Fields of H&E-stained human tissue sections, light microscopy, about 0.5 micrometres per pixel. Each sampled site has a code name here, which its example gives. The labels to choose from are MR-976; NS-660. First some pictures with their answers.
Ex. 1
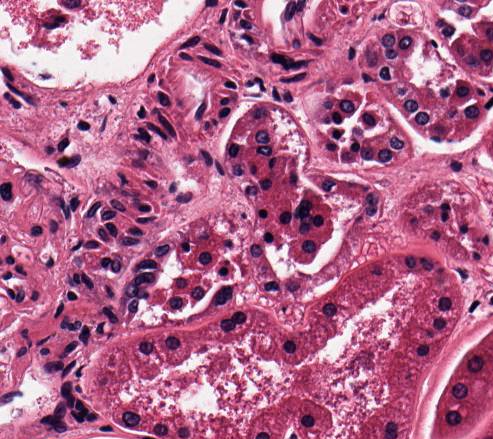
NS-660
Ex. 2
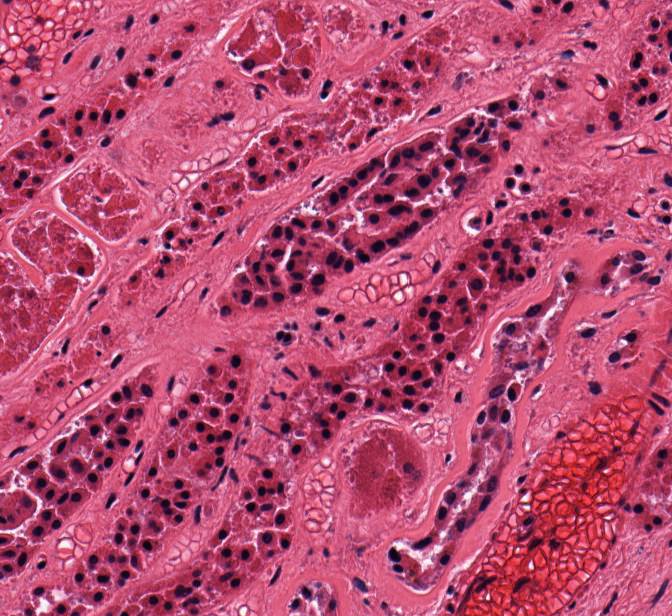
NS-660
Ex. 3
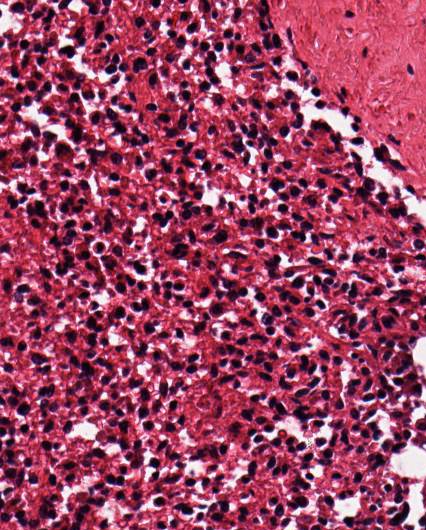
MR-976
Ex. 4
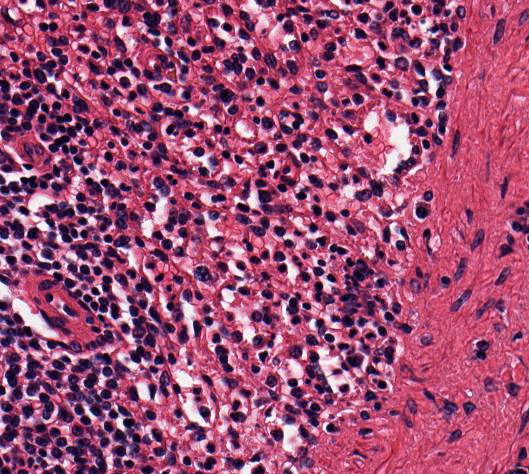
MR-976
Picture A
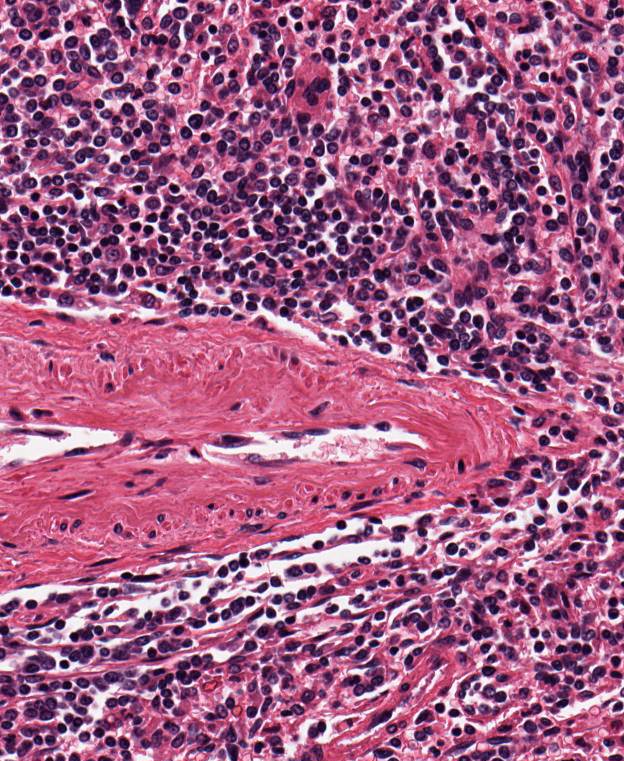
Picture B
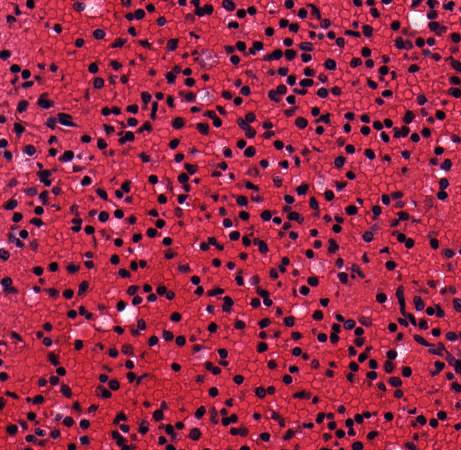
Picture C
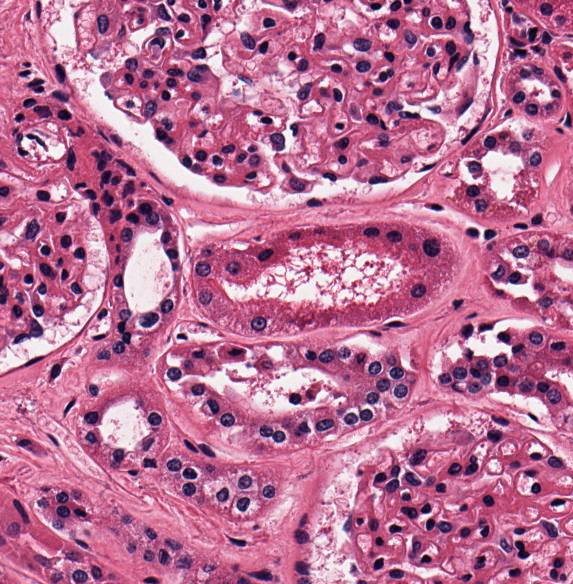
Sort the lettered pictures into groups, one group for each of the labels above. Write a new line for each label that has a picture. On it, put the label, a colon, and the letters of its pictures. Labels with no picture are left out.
MR-976: A, B
NS-660: C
